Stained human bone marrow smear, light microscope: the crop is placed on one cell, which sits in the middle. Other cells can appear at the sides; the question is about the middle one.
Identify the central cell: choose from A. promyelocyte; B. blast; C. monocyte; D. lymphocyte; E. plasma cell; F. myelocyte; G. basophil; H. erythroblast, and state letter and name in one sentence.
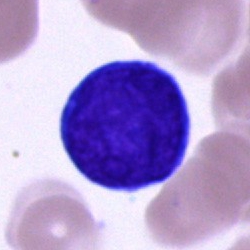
Option B is the keyed answer: the cell in the middle is a blast.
